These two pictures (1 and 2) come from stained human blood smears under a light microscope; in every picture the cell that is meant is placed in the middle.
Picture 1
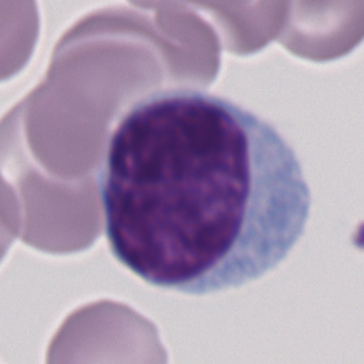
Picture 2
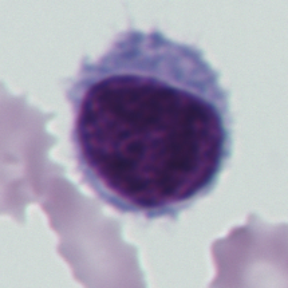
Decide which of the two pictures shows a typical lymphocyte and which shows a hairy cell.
1: typical lymphocyte
2: hairy cell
